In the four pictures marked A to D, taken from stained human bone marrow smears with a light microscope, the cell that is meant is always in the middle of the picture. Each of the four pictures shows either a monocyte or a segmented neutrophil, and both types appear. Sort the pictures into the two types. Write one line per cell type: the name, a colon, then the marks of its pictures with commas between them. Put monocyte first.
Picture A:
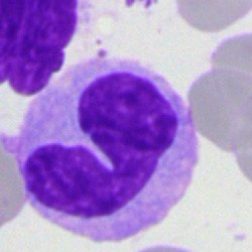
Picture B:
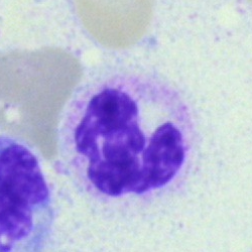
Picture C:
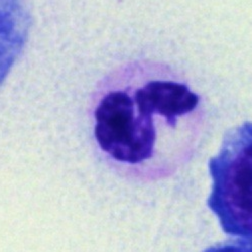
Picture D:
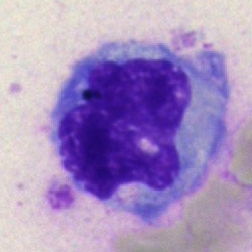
monocyte: A, D
segmented neutrophil: B, C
